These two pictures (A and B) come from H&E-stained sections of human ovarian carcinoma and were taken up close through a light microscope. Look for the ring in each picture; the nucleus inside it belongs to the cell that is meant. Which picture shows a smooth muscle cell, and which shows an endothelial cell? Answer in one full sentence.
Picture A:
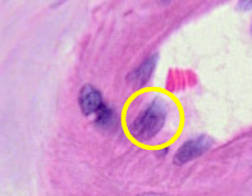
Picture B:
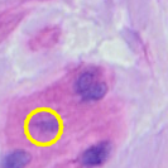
Picture A shows an endothelial cell and picture B shows a smooth muscle cell.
